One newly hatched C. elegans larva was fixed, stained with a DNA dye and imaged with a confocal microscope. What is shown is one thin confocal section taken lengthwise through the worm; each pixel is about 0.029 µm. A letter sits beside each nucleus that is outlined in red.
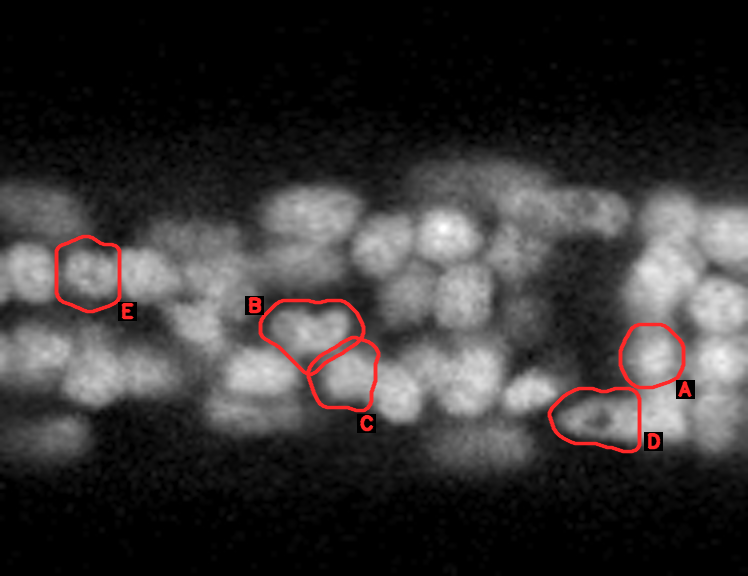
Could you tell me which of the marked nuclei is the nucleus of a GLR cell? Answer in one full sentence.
A is the one that belongs to a GLR cell.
